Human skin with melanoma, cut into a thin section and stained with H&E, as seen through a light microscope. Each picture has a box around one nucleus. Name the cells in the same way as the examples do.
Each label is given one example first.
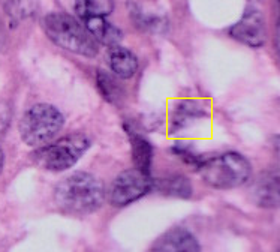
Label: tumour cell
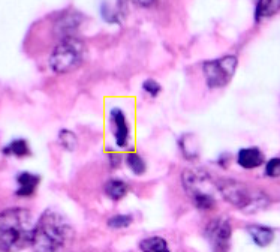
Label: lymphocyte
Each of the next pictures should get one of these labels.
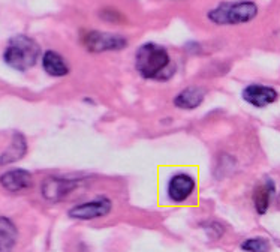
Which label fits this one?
lymphocyte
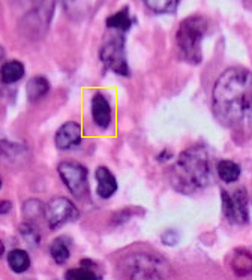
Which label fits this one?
lymphocyte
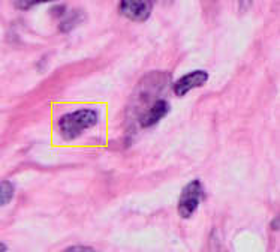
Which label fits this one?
lymphocyte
